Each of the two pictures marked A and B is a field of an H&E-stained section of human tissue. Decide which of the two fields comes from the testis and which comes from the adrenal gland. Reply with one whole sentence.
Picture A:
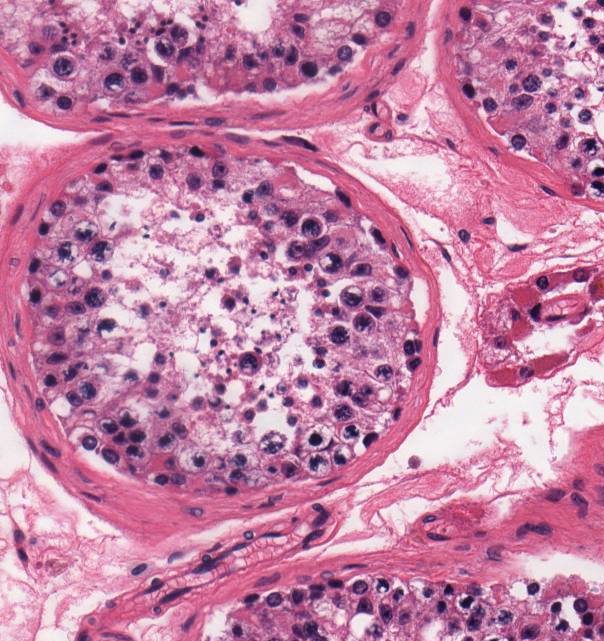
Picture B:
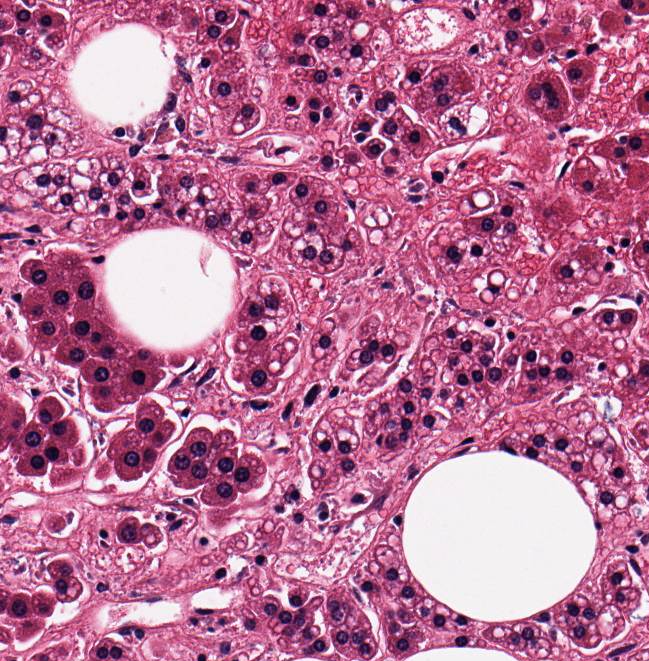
Picture B comes from the adrenal gland, while picture A comes from the testis.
